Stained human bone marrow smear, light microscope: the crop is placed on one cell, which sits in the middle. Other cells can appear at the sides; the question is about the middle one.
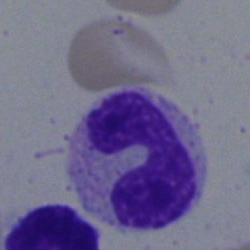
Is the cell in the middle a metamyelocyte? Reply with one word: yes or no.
no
